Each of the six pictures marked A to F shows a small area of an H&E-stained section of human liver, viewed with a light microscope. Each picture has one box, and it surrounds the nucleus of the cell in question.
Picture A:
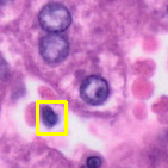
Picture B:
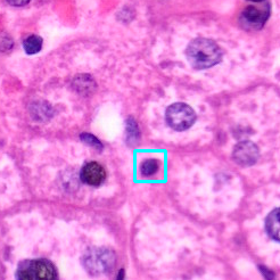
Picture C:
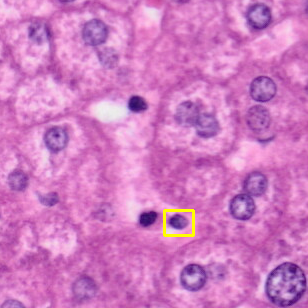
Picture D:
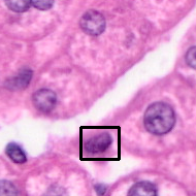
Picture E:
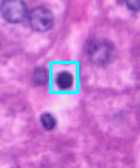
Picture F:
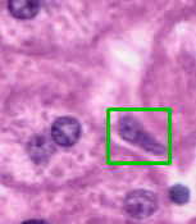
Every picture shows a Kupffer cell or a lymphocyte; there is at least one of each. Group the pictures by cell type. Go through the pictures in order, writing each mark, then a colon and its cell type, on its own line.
A: lymphocyte
B: lymphocyte
C: lymphocyte
D: Kupffer cell
E: lymphocyte
F: Kupffer cell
